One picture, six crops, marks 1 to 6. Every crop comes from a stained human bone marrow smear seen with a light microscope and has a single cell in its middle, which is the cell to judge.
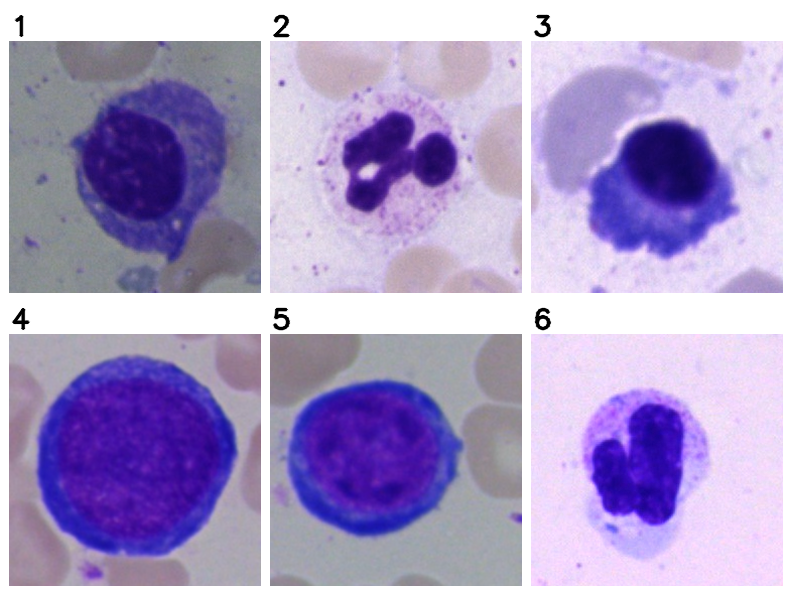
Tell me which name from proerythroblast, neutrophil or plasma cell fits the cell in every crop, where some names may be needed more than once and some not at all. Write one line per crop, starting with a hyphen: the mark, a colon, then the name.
- 1: plasma cell
- 2: neutrophil
- 3: plasma cell
- 4: proerythroblast
- 5: proerythroblast
- 6: neutrophil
